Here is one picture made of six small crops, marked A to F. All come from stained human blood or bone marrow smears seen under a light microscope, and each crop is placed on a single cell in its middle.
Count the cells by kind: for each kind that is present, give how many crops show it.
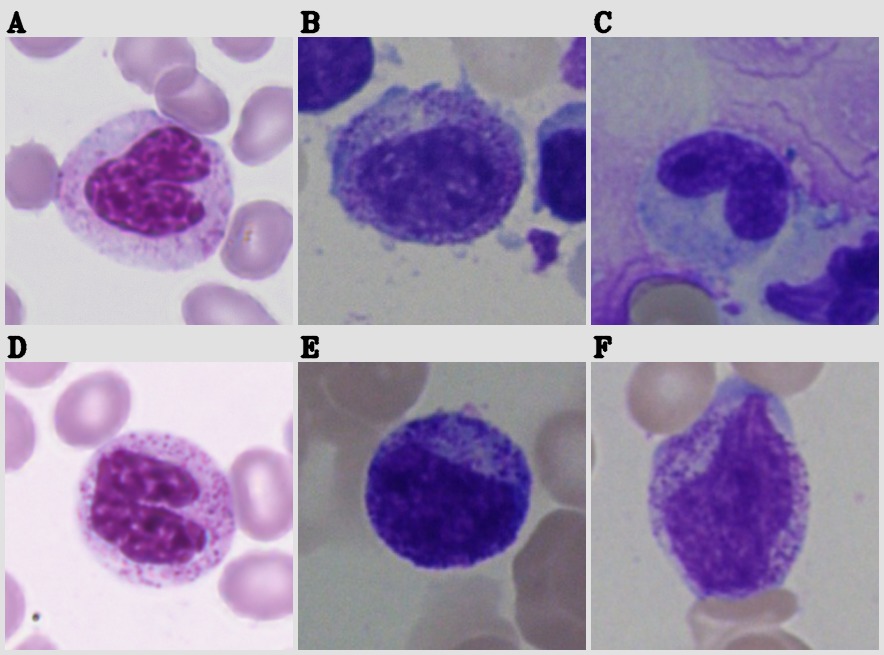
band neutrophil: 3
myelocyte: 3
